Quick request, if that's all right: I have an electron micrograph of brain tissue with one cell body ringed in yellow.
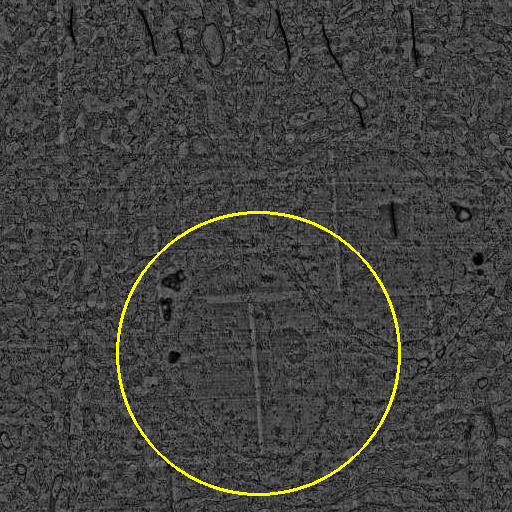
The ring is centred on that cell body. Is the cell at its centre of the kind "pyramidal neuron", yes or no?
yes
